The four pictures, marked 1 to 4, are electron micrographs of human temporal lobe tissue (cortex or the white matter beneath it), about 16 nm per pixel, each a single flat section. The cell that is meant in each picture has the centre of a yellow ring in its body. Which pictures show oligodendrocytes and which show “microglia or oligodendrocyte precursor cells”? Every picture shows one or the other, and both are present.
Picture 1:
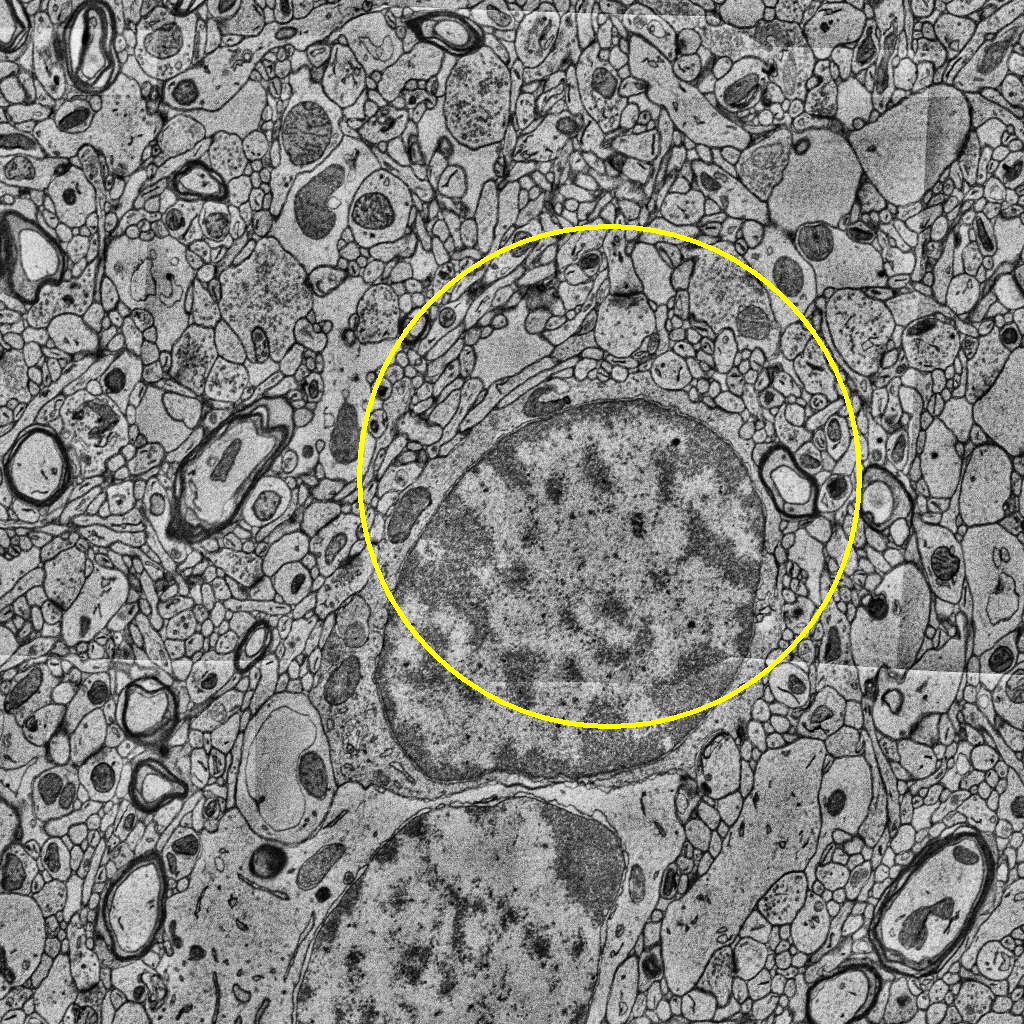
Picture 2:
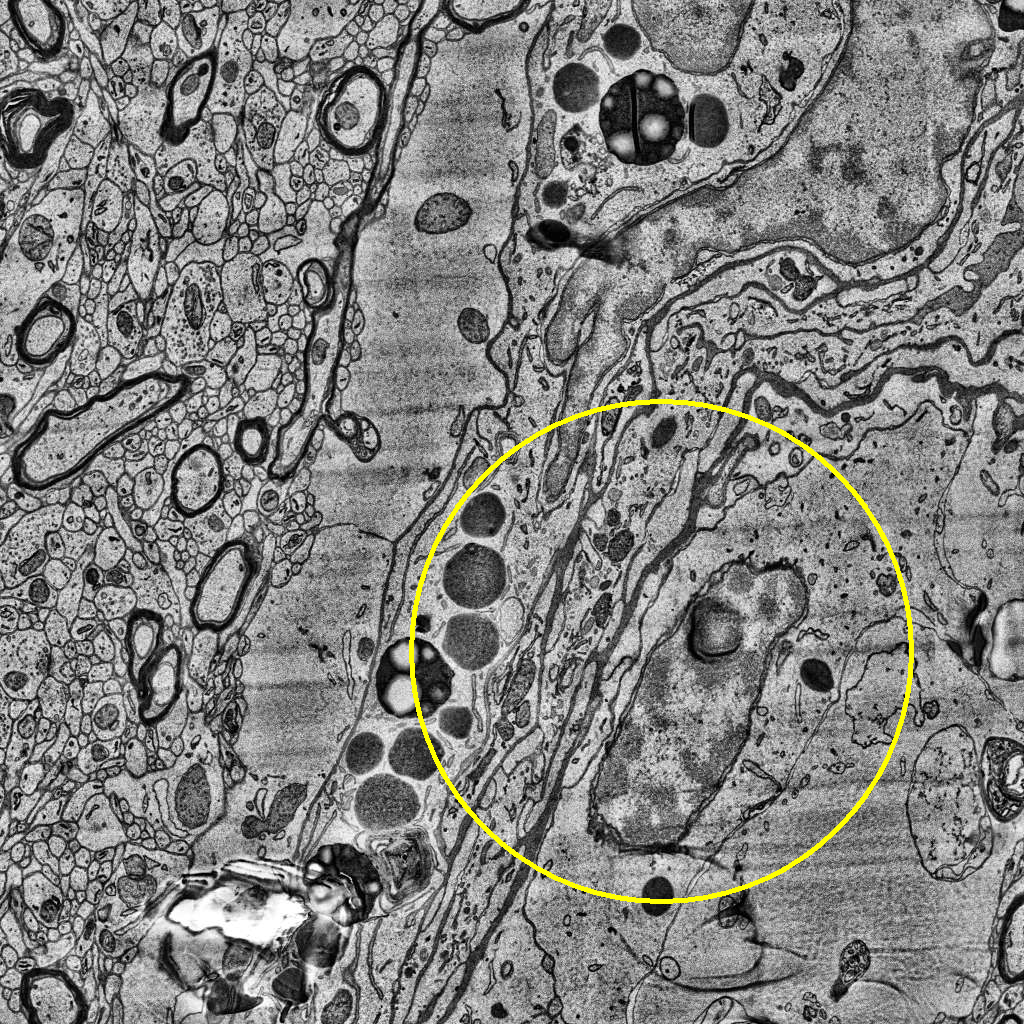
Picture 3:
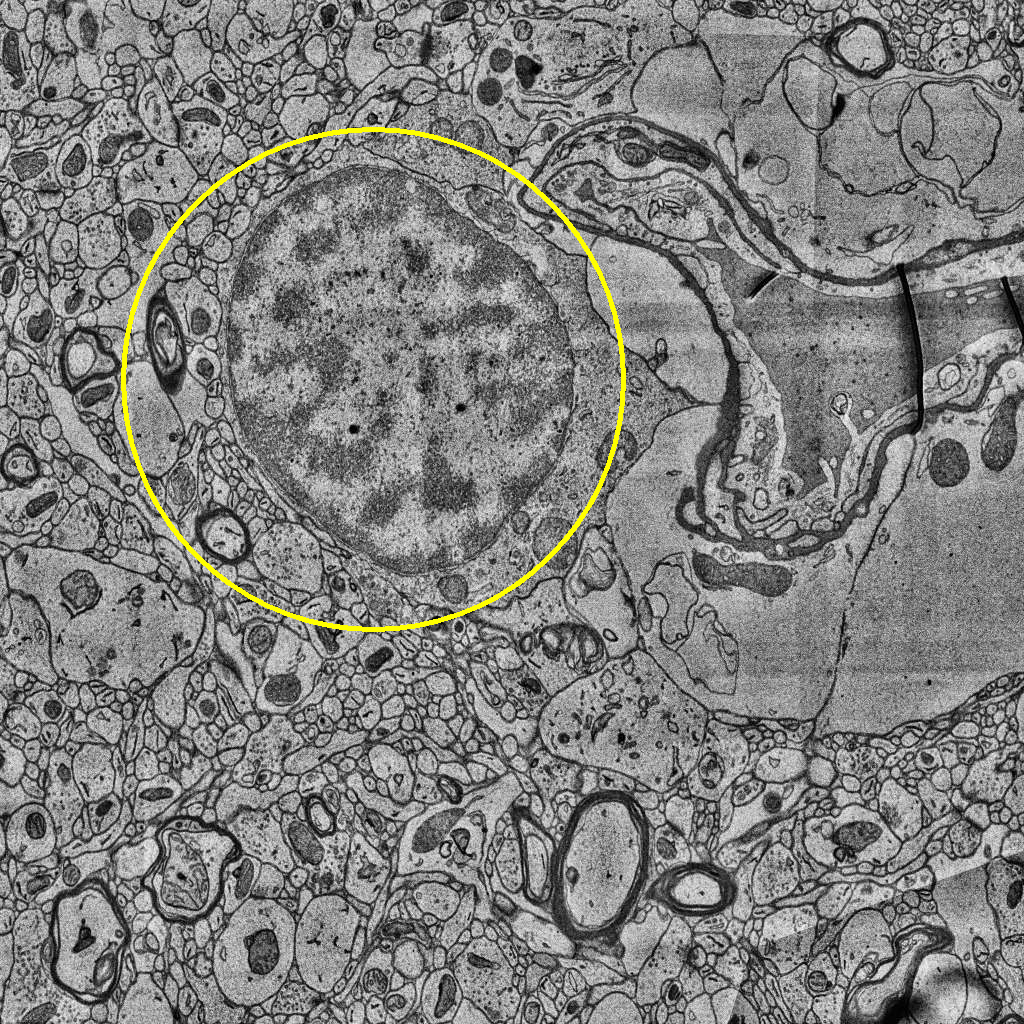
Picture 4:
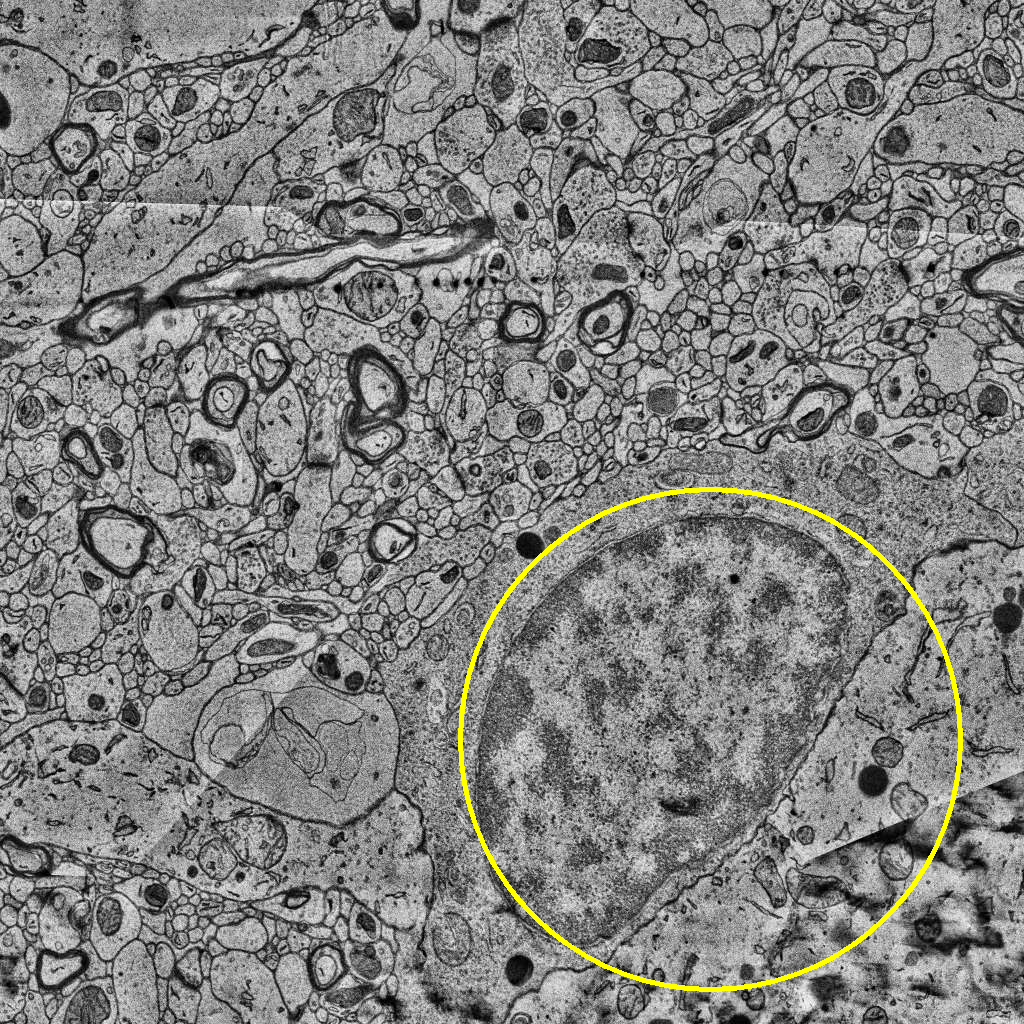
Pictures 1, 3 and 4 show oligodendrocytes; picture 2 shows a “microglia or oligodendrocyte precursor cell”.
